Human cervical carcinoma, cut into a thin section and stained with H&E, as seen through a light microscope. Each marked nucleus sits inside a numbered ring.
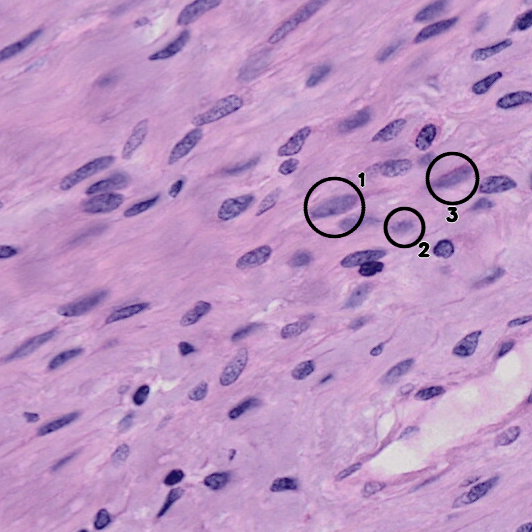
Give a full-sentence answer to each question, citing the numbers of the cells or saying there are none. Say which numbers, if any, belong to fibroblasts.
Identification: the cells with numbers 1 and 2 are fibroblasts.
